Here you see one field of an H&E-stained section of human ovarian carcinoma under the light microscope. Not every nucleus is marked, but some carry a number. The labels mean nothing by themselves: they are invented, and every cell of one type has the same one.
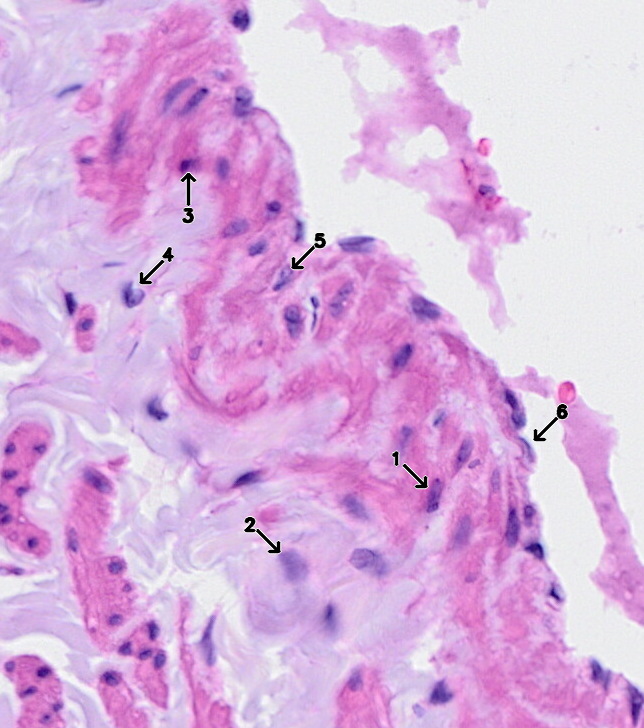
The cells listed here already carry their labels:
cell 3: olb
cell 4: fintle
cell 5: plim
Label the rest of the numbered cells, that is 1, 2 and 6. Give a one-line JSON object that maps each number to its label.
{"1": "olb", "2": "fintle", "6": "plim"}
